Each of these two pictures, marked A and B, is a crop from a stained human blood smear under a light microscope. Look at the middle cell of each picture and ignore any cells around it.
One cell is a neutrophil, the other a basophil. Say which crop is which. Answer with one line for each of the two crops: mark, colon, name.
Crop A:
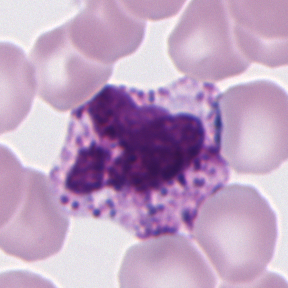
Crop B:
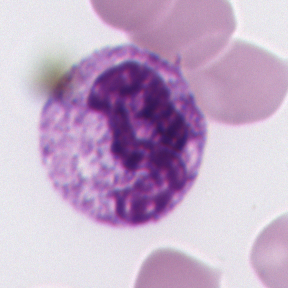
A: basophil
B: neutrophil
